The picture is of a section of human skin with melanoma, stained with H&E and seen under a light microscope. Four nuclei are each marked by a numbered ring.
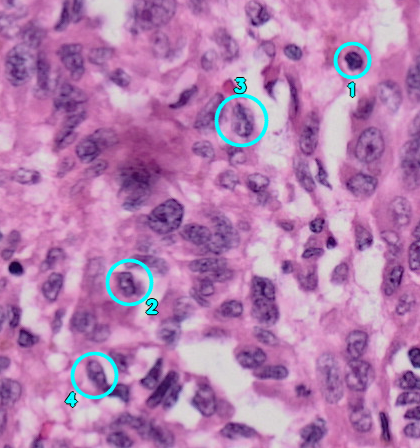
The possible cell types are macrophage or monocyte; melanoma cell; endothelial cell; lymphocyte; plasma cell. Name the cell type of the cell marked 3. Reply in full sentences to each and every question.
Nucleus 3 in this section belongs to a melanoma cell.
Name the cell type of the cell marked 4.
The numbered cell 4 is identified here as a melanoma cell.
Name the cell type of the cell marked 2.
The cell bearing label 2 corresponds to a melanoma cell.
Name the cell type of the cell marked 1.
The cell that carries the label 1 is a lymphocyte.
